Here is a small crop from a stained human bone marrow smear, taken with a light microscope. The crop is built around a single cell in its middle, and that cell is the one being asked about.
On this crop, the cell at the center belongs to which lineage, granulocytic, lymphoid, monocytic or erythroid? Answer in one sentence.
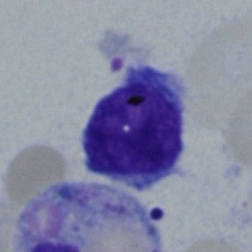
Regarding the central cell, its lineage is lymphoid.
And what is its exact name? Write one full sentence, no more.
In this smear crop, the middle cell is a lymphocyte.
